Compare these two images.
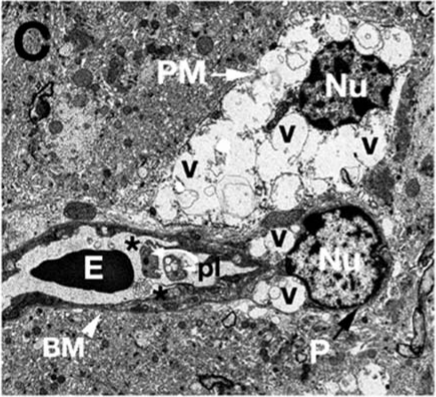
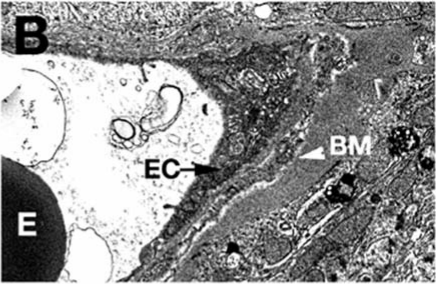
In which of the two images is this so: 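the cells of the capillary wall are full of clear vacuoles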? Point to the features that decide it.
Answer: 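First image: many round, clear vacuoles fill the cells lying against the capillary. Second image: the endothelium and adjacent wall are dense and compact without large clear vacuoles.
Conclusion: the first image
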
